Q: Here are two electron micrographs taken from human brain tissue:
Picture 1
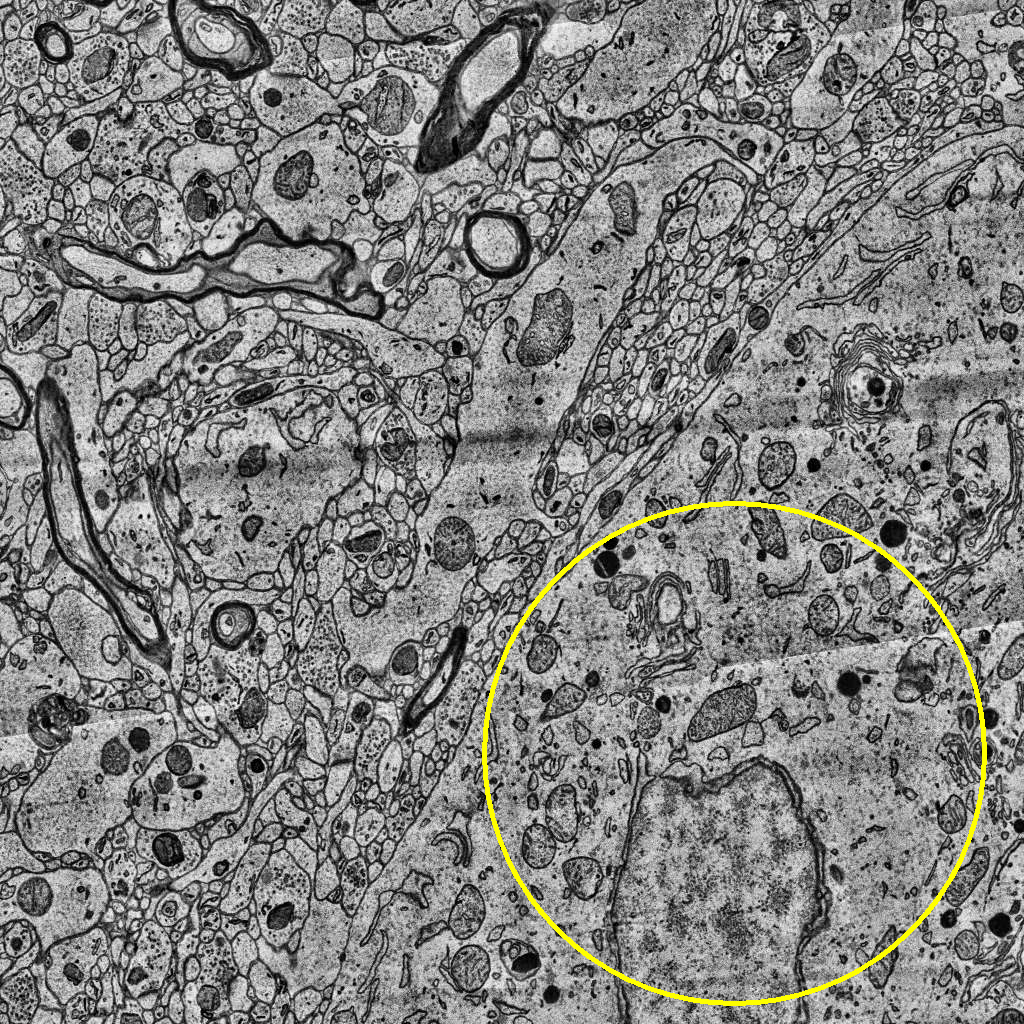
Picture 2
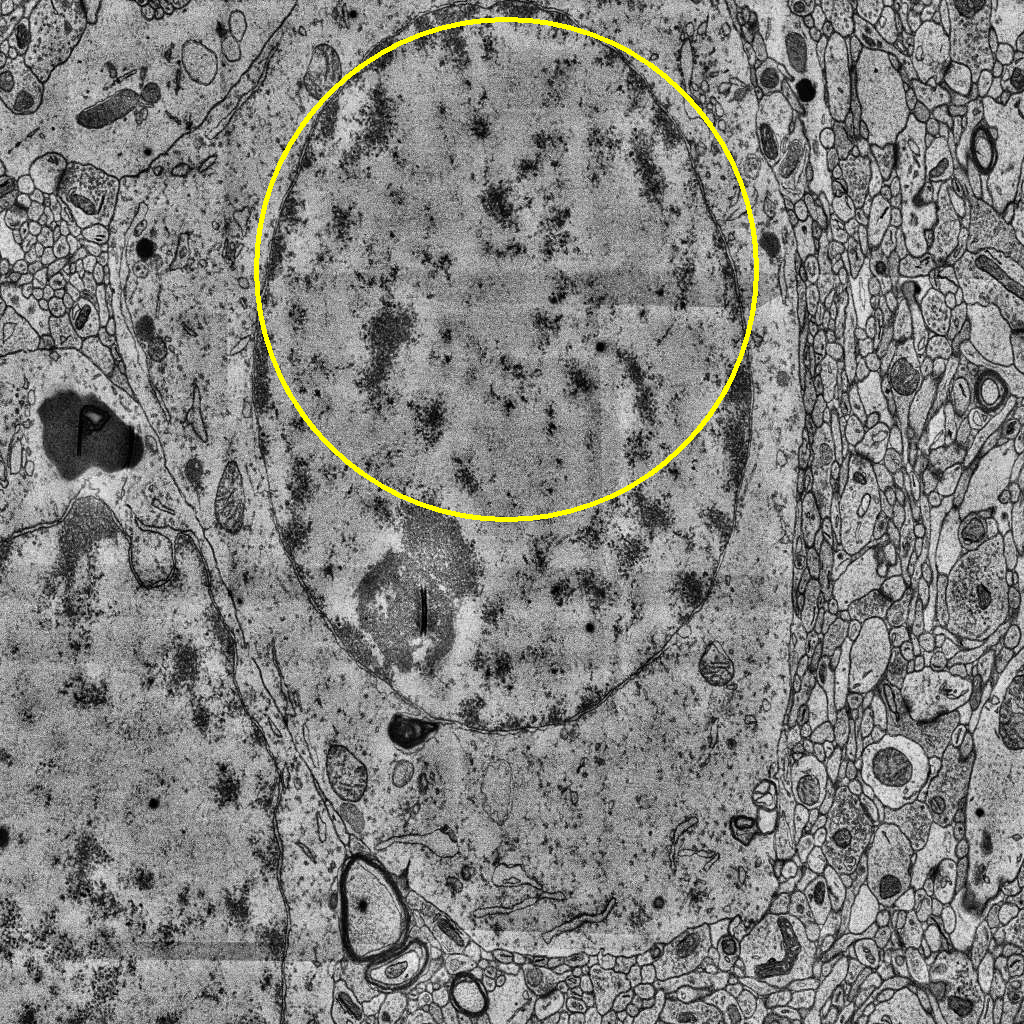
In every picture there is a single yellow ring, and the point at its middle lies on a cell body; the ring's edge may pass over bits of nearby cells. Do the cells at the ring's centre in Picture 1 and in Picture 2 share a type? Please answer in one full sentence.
Yes, the cells at the ring's centre in Picture 1 and Picture 2 share a type.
